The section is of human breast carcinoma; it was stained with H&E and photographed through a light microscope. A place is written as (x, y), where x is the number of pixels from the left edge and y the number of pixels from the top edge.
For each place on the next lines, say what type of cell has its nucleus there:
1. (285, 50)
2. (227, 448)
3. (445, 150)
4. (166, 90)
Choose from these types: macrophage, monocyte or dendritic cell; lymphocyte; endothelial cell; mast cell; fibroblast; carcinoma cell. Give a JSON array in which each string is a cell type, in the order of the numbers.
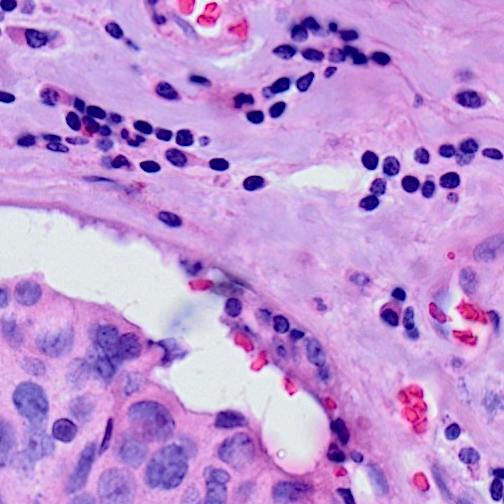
["lymphocyte", "carcinoma cell", "lymphocyte", "mast cell"]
